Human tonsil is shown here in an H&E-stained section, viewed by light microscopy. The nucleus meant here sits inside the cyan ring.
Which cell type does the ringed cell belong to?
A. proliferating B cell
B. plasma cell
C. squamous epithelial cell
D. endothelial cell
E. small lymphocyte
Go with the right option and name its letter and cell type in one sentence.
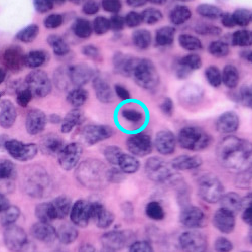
Hey, it is option A: the ringed cell is a proliferating B cell.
